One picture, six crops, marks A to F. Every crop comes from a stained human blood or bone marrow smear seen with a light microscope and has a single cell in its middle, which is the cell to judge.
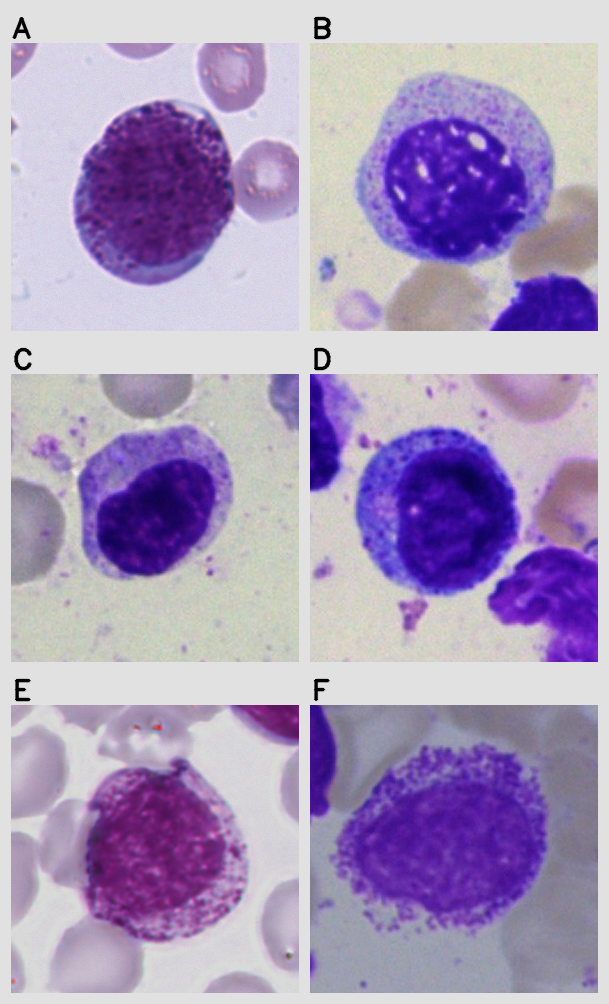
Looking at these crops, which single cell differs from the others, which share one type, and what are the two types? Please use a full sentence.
Crop A stands apart as a promyelocyte, whereas the remaining crops all show myelocytes.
